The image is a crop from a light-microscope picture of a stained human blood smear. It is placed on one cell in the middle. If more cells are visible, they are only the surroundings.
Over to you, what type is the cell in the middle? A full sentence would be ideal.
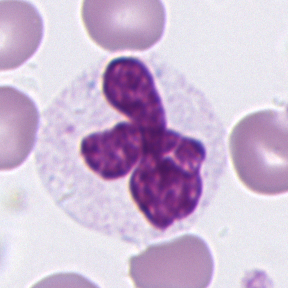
The central cell shown in this smear crop is a segmented neutrophil.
